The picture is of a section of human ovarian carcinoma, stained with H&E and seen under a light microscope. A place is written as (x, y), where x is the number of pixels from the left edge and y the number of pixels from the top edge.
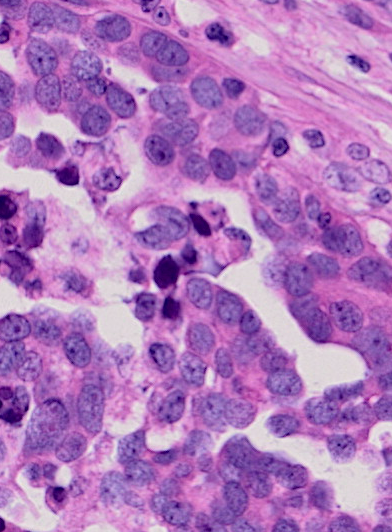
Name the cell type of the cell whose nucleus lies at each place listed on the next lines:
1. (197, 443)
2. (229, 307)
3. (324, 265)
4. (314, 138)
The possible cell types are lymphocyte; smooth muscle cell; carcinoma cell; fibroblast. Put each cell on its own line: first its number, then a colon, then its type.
1: carcinoma cell
2: carcinoma cell
3: carcinoma cell
4: lymphocyte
